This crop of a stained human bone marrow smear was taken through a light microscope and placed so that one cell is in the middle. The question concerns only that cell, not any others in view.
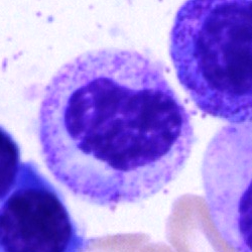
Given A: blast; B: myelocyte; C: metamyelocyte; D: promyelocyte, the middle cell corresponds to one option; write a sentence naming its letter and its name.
The cell at the centre, correctly named in option C, is a metamyelocyte.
